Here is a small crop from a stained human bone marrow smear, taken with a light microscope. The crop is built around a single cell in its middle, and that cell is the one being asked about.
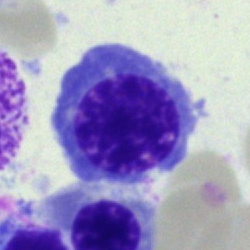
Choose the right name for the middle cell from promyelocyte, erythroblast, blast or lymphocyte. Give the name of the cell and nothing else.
erythroblast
